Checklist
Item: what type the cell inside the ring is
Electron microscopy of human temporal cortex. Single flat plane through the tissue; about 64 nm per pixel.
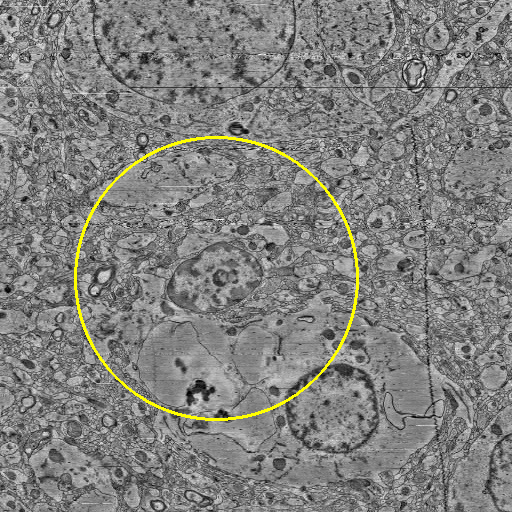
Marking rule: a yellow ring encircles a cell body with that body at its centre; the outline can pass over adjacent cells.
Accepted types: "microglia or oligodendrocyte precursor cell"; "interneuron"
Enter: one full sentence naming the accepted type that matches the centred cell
The entry is that a microglial cell or oligodendrocyte precursor cell lies at the centre of the yellow ring.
